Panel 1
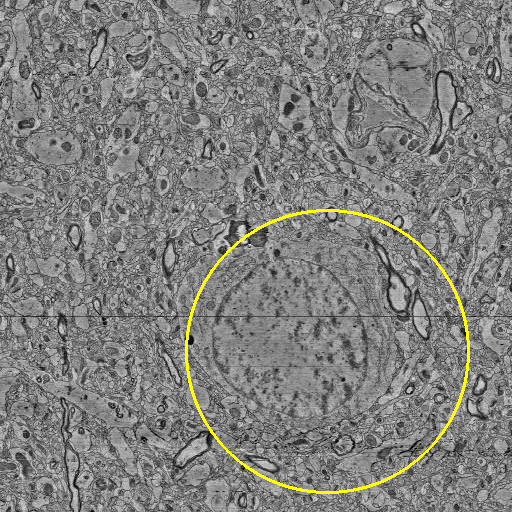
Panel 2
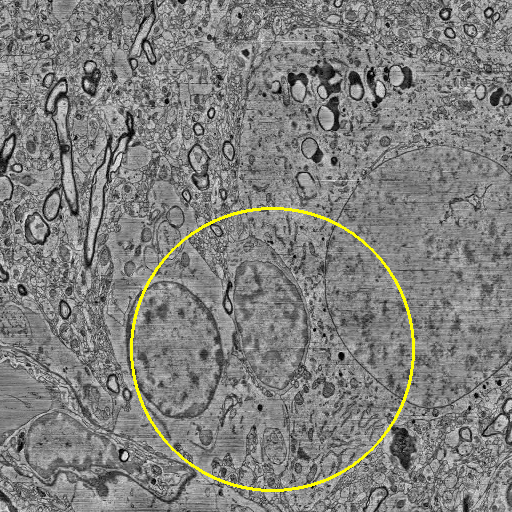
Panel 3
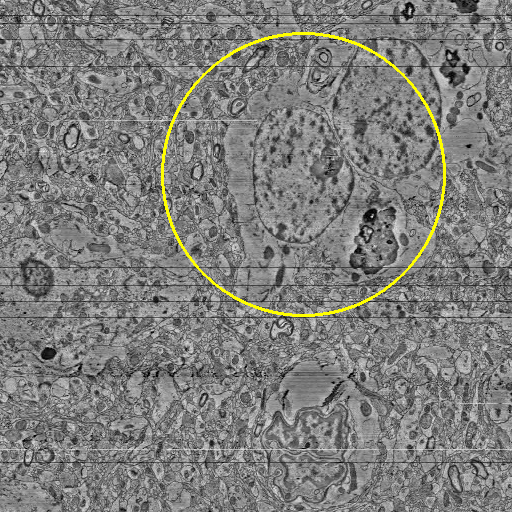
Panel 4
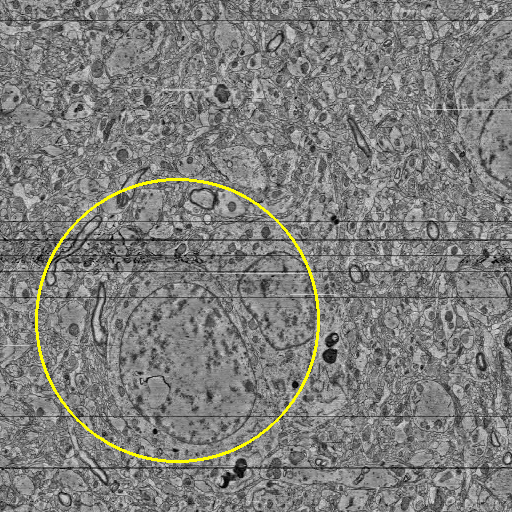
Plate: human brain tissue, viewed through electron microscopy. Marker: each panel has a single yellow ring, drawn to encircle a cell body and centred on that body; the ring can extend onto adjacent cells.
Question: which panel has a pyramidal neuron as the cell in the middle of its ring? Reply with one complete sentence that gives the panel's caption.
Panel 4 is where the requested cell sits at the centre of the ring.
